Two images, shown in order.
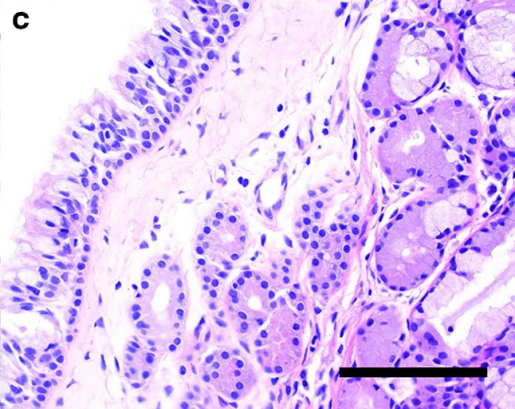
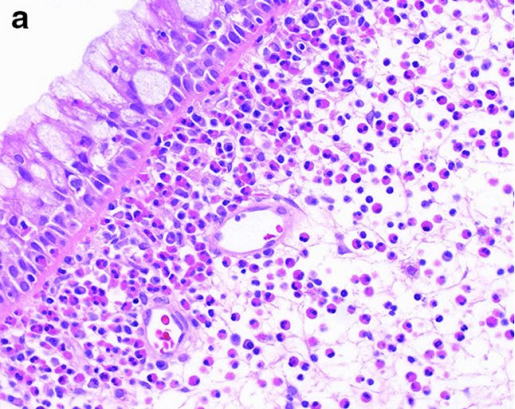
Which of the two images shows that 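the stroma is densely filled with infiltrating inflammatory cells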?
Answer: The second image.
